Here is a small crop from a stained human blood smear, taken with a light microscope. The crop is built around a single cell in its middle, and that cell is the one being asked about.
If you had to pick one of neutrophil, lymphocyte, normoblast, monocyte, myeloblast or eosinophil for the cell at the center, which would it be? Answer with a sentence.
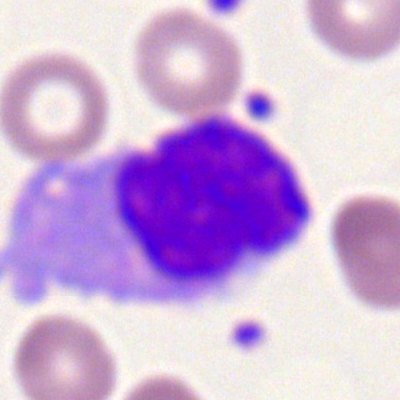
What the crop centres on is a monocyte.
